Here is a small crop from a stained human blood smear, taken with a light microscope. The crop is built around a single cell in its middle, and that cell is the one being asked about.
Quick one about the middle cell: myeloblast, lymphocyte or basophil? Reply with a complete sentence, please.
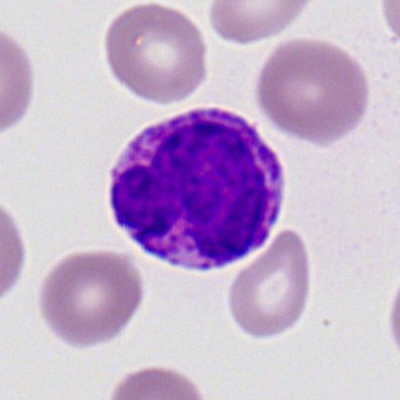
Centred in the crop is a basophil.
